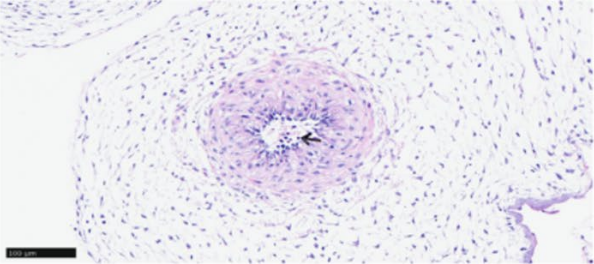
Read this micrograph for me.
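This is umbilical cord tissue, where a single vessel with a thick pink, concentrically layered wall sits in a pale, loose connective tissue. The wall is built of spindle-shaped cells with elongated purple nuclei arranged in rings around a narrow, irregular lumen. Inside the lumen, the arrow points at a cluster of small, dark, rounded nuclei that stand out from the elongated nuclei of the wall. The surrounding matrix holds scattered spindle-shaped cells with purple nuclei.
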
